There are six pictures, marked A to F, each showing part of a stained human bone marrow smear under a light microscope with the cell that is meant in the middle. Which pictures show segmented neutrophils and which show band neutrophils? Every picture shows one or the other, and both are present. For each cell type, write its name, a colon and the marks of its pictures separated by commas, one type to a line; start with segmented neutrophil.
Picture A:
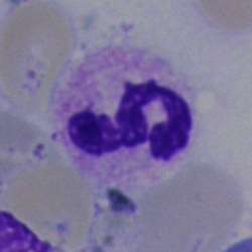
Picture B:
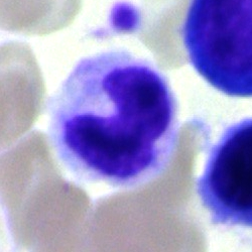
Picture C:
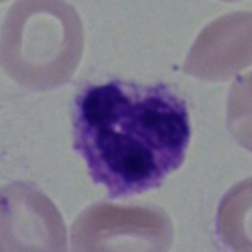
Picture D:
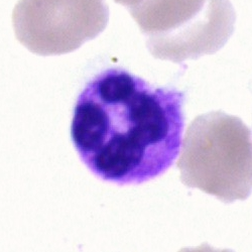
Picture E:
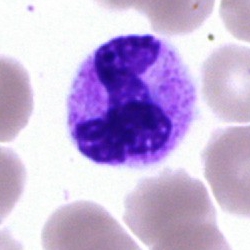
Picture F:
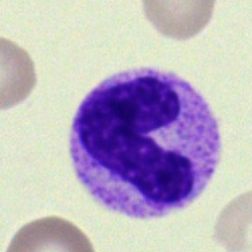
segmented neutrophil: A, C, D, E
band neutrophil: B, F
